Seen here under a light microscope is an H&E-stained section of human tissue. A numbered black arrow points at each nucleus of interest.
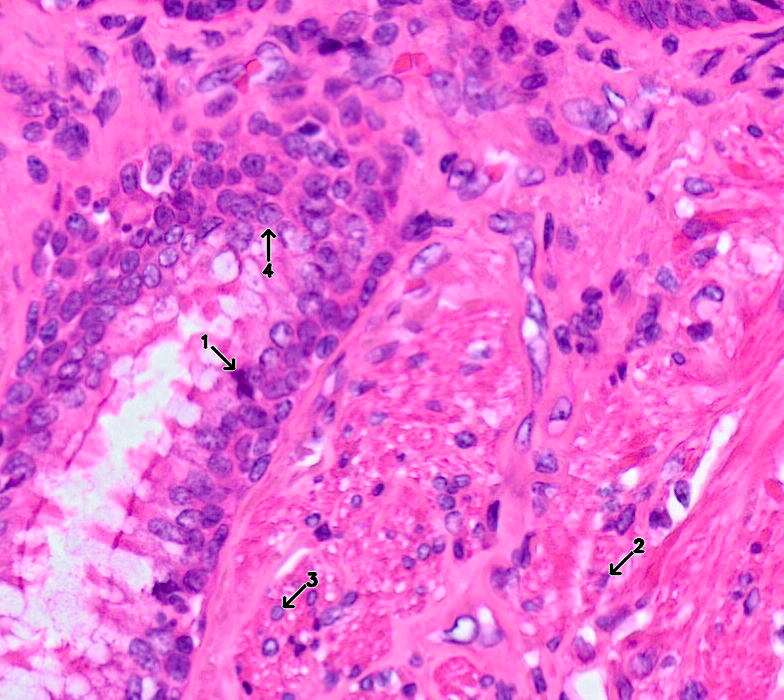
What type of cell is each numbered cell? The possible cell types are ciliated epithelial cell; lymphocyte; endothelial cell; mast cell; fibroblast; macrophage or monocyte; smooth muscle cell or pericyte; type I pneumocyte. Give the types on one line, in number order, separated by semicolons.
ciliated epithelial cell; smooth muscle cell or pericyte; smooth muscle cell or pericyte; ciliated epithelial cell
